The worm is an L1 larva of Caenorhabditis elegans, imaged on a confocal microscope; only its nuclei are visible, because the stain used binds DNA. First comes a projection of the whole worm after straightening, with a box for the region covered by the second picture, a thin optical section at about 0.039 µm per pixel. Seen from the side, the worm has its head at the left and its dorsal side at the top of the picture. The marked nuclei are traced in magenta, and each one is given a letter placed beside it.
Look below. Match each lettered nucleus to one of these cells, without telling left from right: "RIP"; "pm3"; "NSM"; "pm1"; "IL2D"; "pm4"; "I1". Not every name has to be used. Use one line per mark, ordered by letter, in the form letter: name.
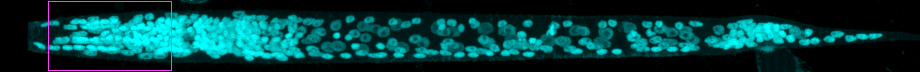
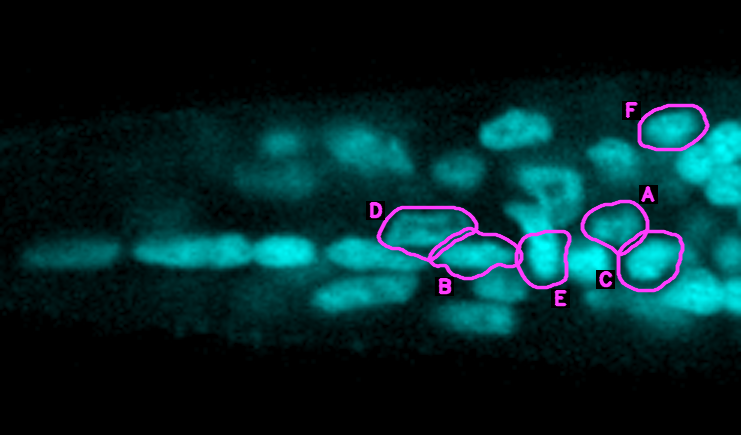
A: pm4
B: I1
C: NSM
D: pm3
E: pm1
F: IL2D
